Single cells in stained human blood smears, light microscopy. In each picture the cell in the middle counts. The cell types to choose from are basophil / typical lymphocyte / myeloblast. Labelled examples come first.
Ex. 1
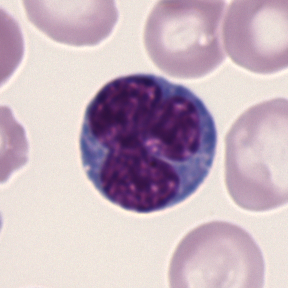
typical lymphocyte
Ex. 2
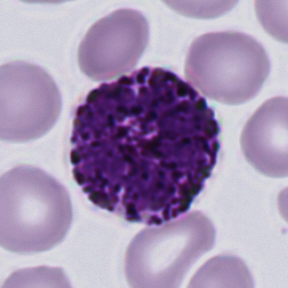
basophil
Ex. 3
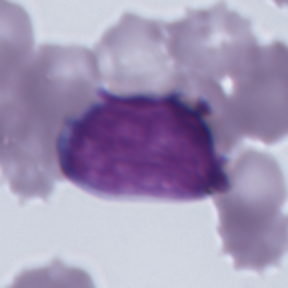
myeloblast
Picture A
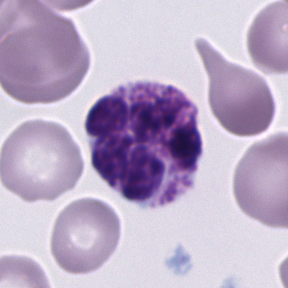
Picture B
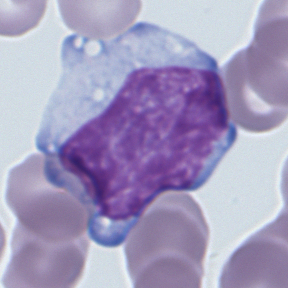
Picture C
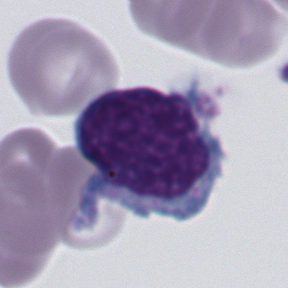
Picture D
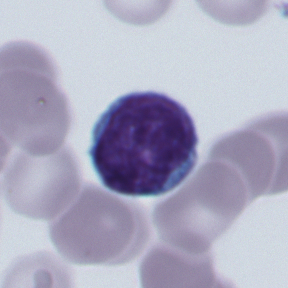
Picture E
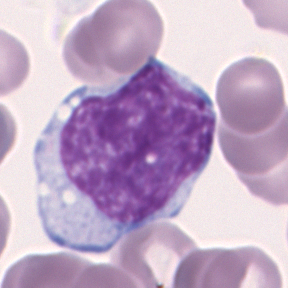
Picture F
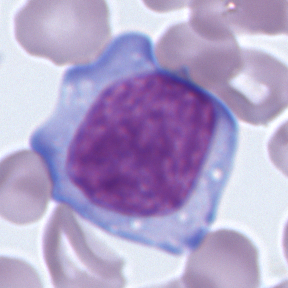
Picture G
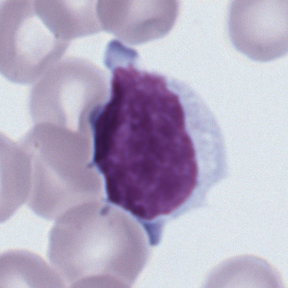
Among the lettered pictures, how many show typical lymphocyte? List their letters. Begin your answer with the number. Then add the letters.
3, namely C, D, G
